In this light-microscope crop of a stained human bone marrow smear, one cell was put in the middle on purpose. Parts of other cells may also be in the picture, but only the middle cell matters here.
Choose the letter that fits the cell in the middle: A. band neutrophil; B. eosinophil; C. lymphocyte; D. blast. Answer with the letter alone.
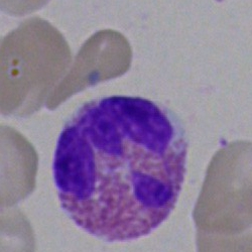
B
